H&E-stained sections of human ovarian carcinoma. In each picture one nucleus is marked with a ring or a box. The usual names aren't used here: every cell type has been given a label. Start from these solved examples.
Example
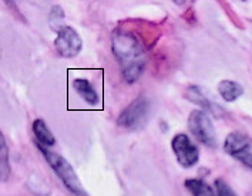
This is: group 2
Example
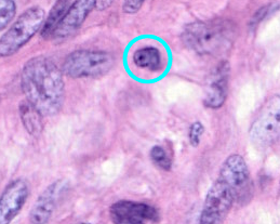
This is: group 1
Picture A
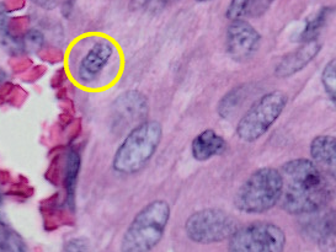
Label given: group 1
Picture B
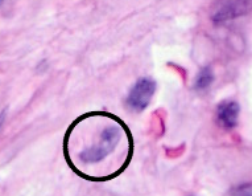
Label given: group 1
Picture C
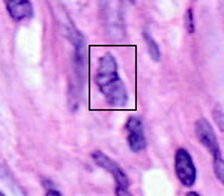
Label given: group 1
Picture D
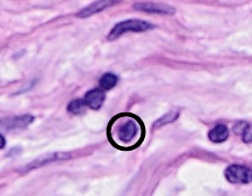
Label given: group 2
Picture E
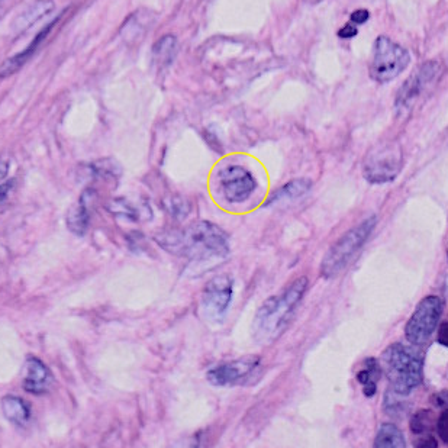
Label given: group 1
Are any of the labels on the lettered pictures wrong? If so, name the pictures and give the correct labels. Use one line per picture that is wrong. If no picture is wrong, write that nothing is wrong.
All labels are correct.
